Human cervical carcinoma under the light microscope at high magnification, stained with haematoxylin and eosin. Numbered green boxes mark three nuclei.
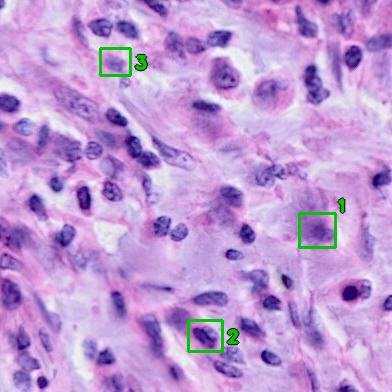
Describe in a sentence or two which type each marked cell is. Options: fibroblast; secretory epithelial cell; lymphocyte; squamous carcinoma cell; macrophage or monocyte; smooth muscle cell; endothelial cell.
Cells 1 and 3 are macrophages or monocytes. Cell 2 is a lymphocyte.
